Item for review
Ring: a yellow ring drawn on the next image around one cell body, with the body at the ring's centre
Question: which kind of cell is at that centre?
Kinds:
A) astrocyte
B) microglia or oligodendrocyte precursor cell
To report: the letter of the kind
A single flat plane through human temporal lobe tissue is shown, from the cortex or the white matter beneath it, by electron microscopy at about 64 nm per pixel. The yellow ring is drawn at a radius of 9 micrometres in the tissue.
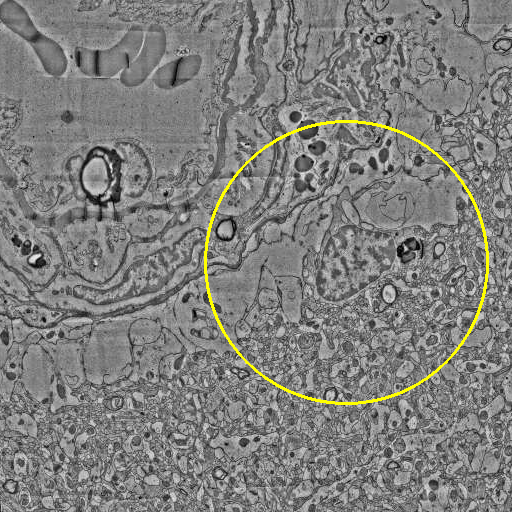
B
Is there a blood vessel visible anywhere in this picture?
Yes, one is visible.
